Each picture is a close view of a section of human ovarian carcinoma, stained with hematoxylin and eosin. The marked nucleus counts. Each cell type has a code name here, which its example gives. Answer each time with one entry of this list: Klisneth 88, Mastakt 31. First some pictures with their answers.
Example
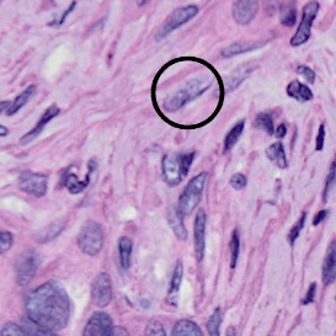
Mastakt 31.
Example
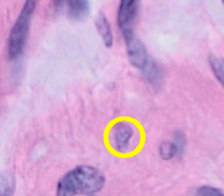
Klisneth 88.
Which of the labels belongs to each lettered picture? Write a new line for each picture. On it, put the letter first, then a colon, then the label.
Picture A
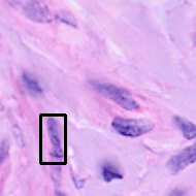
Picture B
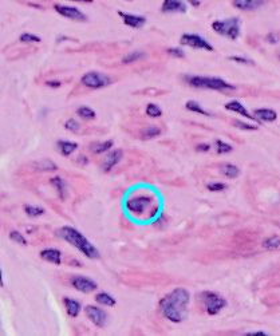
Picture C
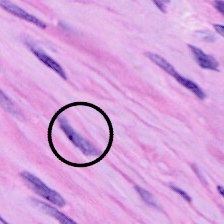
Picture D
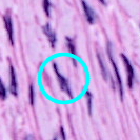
A: Klisneth 88.
B: Klisneth 88.
C: Klisneth 88.
D: Mastakt 31.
